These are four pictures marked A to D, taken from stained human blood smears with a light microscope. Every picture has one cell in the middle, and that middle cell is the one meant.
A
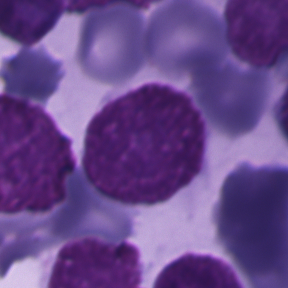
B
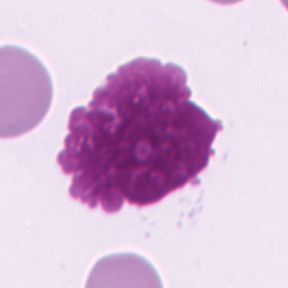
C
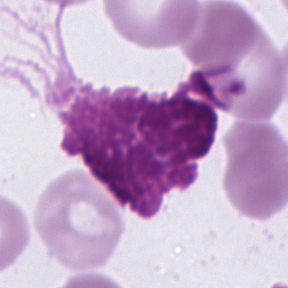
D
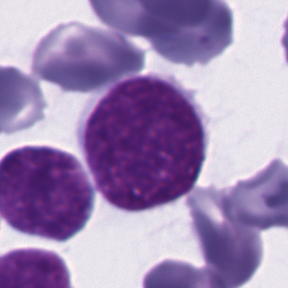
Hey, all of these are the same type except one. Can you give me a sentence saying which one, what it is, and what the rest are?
Unlike the other crops, which all show smudge cells, crop D is a myeloblast.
